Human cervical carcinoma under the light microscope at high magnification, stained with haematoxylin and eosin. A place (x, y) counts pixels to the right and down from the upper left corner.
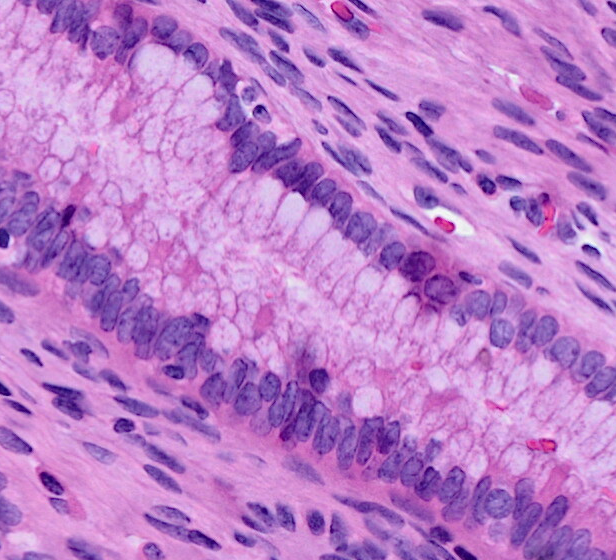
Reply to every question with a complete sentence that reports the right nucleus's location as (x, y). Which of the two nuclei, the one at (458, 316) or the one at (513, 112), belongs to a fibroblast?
The nucleus situated at (513, 112) is the one belonging to a fibroblast.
